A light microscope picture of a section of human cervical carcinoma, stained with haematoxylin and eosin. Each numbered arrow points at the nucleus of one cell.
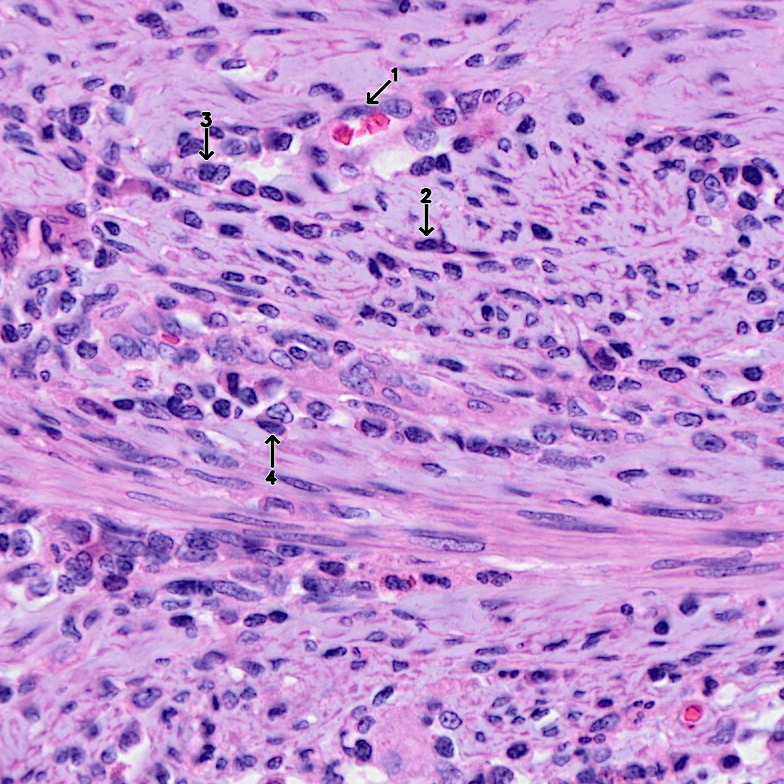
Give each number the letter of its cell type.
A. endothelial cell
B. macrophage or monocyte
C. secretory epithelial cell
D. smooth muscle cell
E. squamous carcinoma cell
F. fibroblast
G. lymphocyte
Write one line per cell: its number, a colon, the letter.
1: A
2: G
3: G
4: G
